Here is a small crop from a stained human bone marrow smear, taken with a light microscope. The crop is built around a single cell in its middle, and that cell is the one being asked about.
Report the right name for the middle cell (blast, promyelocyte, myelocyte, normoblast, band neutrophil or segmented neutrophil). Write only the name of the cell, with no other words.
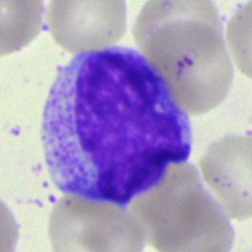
myelocyte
